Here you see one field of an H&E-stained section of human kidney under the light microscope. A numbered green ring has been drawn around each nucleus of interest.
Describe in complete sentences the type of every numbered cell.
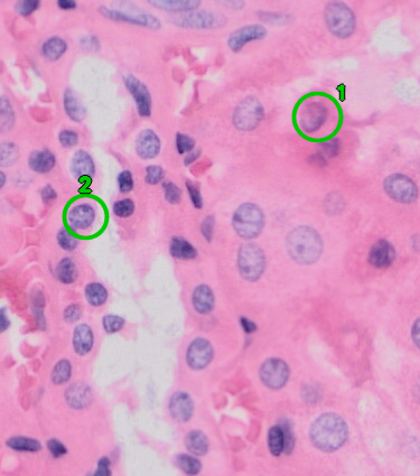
Cell 1 is a proximal tubule cell. Cell 2 is a collecting duct cell.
